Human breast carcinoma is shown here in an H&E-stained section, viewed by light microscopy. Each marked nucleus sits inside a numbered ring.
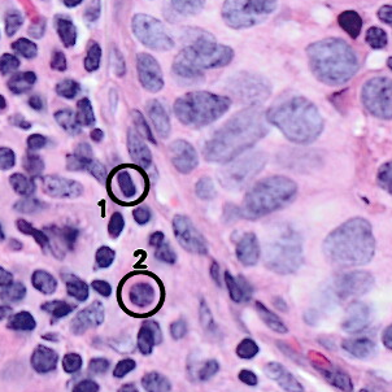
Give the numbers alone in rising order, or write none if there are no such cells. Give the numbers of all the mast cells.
2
